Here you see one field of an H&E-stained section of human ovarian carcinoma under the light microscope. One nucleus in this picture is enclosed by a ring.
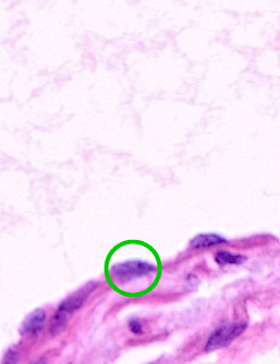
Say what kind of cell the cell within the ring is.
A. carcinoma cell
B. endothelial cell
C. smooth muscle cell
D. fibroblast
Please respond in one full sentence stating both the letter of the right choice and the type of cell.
Option B is correct; the cell within the ring is an endothelial cell.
